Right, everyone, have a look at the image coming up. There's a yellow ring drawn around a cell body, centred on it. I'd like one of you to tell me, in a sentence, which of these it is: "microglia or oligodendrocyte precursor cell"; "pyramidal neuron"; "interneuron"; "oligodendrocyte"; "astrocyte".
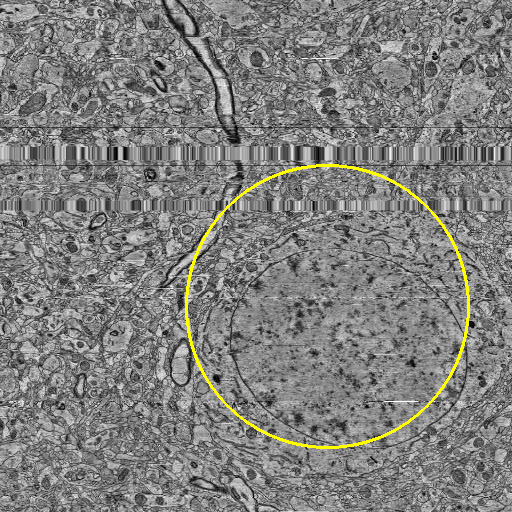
The yellow ring sits on a pyramidal neuron.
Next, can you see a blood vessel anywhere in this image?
No.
